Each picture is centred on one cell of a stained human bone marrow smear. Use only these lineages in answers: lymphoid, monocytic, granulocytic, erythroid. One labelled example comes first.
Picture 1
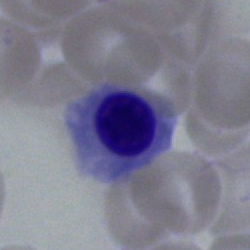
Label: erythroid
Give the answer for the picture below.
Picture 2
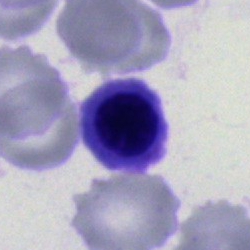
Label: erythroid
